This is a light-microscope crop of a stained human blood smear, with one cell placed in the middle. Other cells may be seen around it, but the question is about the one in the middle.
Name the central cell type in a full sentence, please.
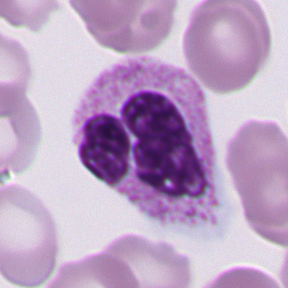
The middle of this crop holds a segmented neutrophil.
